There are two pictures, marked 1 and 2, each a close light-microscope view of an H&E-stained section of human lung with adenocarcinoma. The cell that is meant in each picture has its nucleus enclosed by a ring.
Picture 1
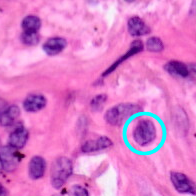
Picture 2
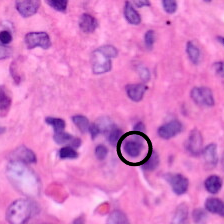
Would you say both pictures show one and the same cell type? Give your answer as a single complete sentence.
Yes, they are the same type: both are lymphocytes.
